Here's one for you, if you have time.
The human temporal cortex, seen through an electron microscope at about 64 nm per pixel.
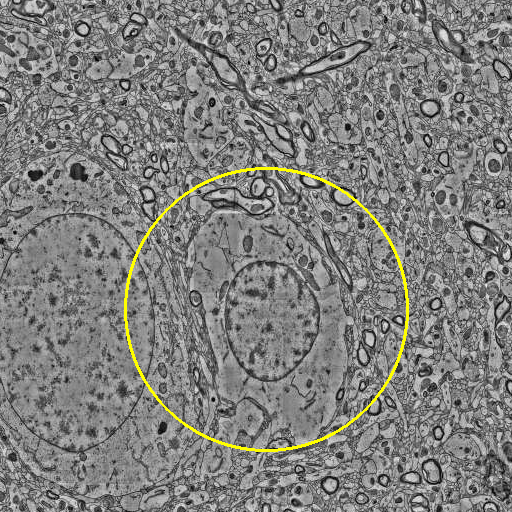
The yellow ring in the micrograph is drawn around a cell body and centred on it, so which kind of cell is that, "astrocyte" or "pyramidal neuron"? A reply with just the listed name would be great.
astrocyte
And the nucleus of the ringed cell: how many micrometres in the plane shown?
Approximately 8 micrometres long and 6 micrometres wide, in this plane.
